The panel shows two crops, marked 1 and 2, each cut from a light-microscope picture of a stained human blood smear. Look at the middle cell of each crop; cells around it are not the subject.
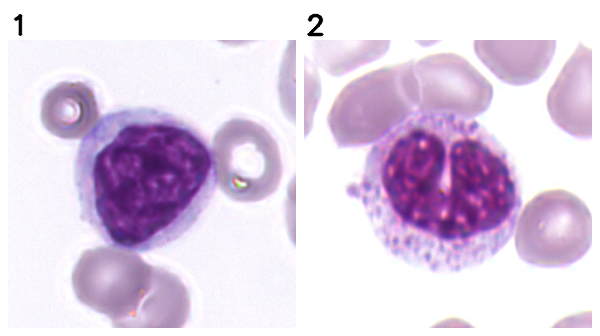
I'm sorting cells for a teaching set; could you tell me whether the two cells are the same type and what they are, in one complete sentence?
No, it is crop 1 that shows a metamyelocyte, and crop 2 that shows a band neutrophil.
